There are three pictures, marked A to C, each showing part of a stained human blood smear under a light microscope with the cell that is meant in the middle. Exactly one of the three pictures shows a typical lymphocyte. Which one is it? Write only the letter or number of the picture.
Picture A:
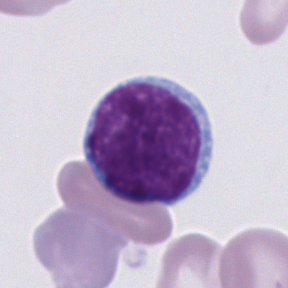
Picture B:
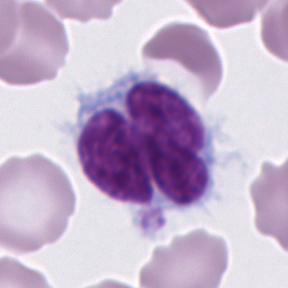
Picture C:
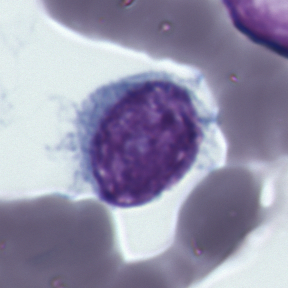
A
